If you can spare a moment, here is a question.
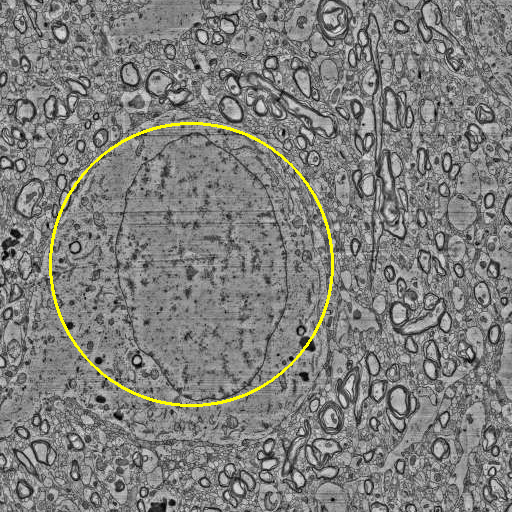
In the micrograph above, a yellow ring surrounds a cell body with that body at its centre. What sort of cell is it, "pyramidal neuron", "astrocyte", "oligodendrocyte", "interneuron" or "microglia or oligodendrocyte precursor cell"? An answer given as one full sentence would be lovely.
Centred inside the yellow ring, the cell body shown belongs to a pyramidal neuron in this micrograph.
